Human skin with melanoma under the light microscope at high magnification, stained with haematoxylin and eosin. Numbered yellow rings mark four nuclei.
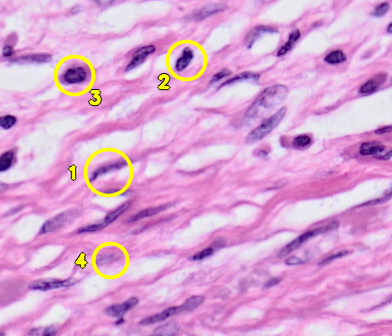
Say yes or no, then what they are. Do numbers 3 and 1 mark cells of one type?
No, a plasma cell is what cell 3 is, and a fibroblast or myofibroblast is what cell 1 is.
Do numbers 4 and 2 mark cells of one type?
No, cell 4 is to be identified as a fibroblast or myofibroblast and cell 2 as a lymphocyte.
